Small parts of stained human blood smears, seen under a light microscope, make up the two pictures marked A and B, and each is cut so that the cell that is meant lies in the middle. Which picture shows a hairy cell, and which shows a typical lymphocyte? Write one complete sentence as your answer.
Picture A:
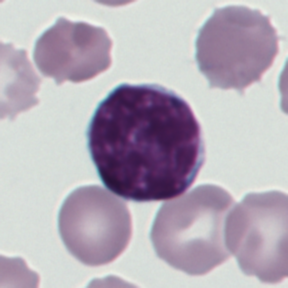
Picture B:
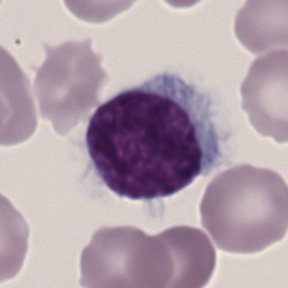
It is picture A that shows a typical lymphocyte, and picture B that shows a hairy cell.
